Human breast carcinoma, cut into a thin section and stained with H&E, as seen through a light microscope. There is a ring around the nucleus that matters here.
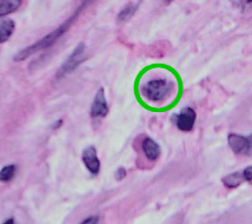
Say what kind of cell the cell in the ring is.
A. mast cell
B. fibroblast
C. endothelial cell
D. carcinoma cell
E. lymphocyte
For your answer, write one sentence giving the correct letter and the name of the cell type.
Option A is correct; the cell in the ring is a mast cell.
